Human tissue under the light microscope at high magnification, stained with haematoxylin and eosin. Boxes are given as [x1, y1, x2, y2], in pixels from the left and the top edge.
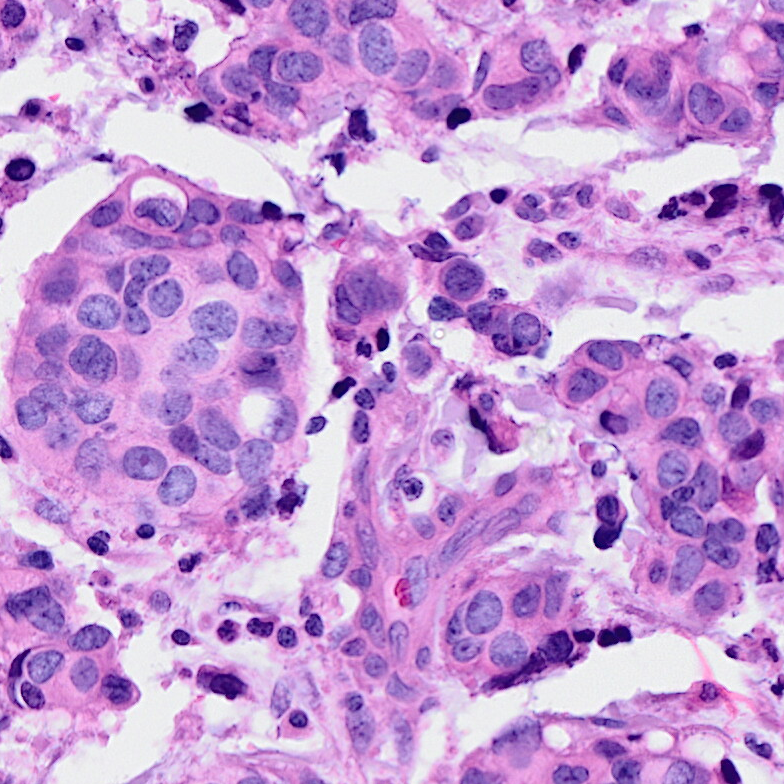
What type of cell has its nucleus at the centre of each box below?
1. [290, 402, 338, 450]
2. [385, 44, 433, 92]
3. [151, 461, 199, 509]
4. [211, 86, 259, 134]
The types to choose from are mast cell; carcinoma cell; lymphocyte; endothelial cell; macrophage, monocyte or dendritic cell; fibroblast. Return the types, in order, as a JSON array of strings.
["lymphocyte", "carcinoma cell", "carcinoma cell", "carcinoma cell"]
